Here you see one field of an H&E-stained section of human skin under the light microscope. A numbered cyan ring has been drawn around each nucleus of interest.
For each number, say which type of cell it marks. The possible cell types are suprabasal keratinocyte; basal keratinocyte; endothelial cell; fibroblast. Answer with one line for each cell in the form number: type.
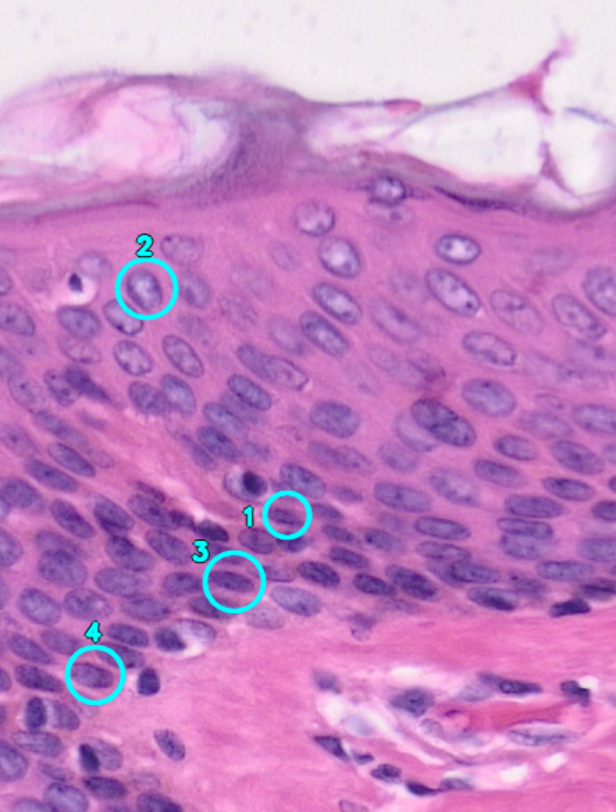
1: basal keratinocyte
2: suprabasal keratinocyte
3: basal keratinocyte
4: basal keratinocyte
